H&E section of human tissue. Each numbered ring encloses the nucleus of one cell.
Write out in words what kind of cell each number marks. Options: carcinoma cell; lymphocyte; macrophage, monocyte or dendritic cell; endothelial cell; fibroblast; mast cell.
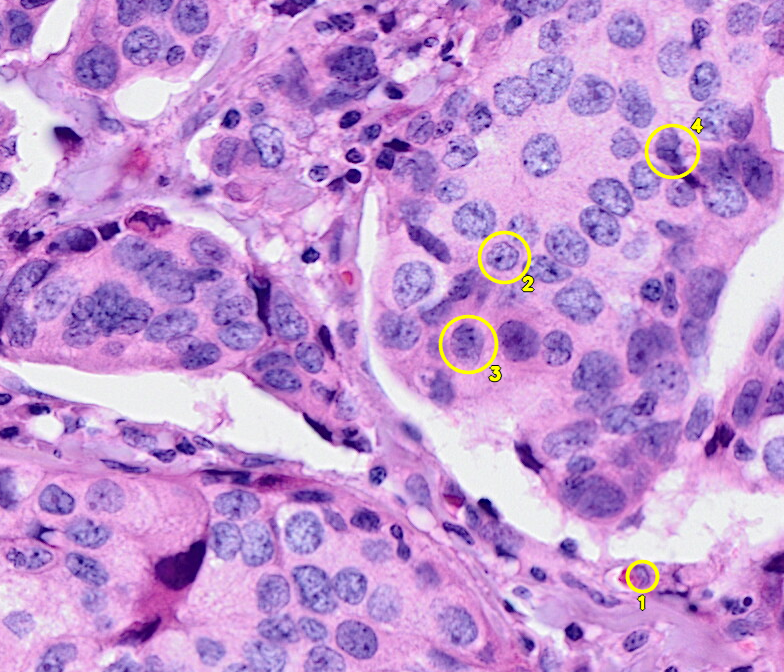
Cell 1 is an endothelial cell, cell 2 is a carcinoma cell, cell 3 is a carcinoma cell and cell 4 is a carcinoma cell.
